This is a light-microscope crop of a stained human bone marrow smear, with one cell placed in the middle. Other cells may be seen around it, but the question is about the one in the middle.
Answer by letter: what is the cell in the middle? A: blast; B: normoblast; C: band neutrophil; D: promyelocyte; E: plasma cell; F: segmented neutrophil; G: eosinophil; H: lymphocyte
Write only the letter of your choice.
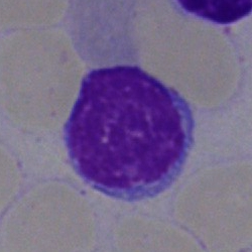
H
